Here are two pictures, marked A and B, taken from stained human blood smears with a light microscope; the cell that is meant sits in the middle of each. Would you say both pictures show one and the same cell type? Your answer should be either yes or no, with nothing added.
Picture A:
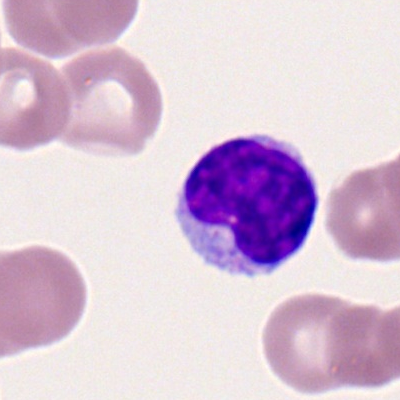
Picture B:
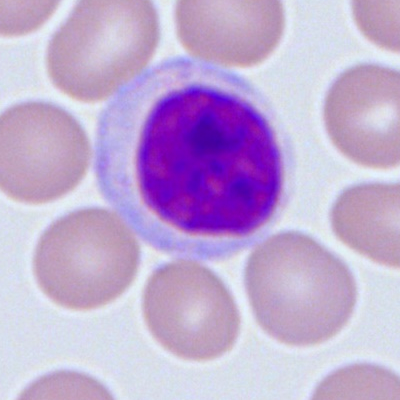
yes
